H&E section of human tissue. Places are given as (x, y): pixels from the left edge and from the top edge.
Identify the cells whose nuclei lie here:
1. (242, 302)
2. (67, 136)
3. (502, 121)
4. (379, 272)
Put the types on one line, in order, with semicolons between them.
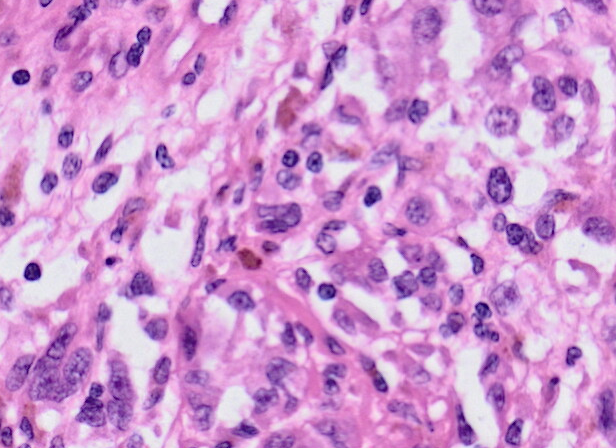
melanoma cell; lymphocyte; melanoma cell; melanoma cell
